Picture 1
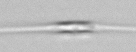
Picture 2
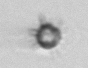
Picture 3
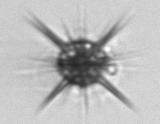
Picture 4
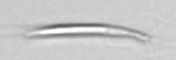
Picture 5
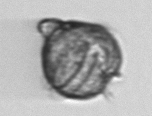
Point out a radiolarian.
That is picture 3.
